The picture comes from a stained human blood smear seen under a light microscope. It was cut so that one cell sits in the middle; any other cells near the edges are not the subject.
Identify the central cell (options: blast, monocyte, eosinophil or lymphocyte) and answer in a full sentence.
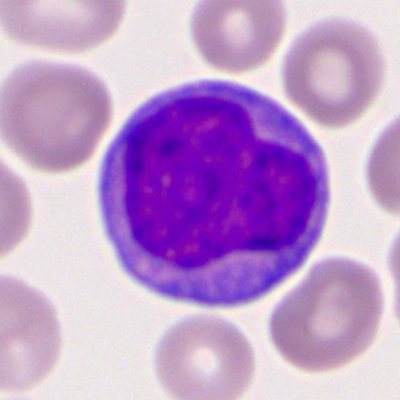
By classification, the middle cell of this crop is a blast.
